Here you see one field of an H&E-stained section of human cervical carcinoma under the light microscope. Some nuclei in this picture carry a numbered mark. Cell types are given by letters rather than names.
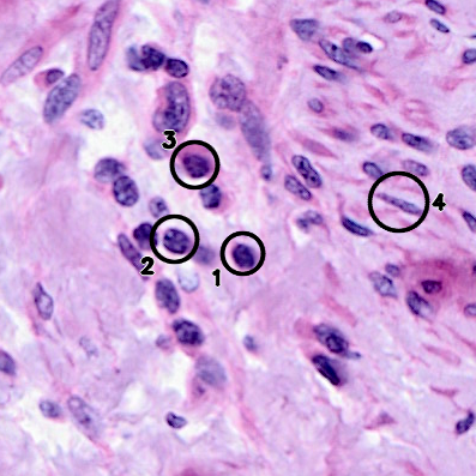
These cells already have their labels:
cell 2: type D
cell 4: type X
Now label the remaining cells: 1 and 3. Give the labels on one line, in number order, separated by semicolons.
type D; type D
